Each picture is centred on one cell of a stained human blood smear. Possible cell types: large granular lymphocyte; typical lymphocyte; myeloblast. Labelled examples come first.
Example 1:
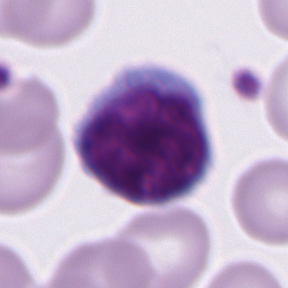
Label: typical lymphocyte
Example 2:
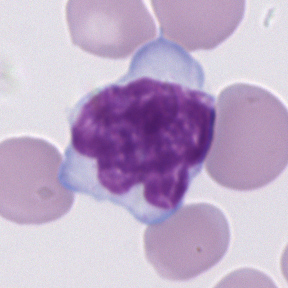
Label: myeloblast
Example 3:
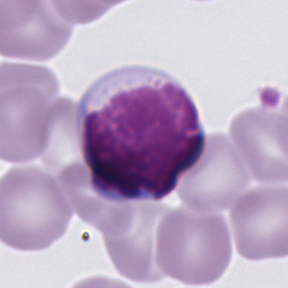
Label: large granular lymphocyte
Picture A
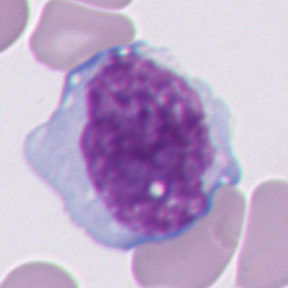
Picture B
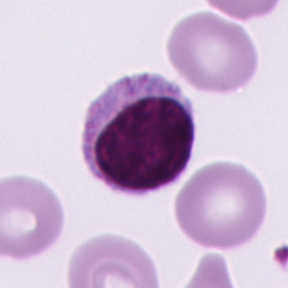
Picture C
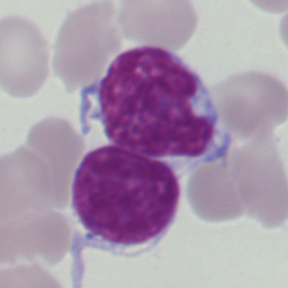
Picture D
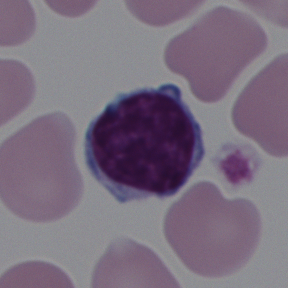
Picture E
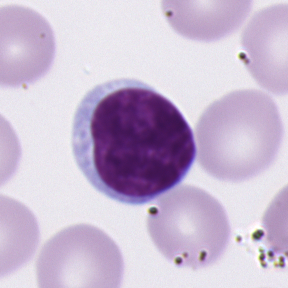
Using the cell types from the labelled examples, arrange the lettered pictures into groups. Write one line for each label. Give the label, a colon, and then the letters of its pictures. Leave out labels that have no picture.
large granular lymphocyte: B
typical lymphocyte: D, E
myeloblast: A, C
